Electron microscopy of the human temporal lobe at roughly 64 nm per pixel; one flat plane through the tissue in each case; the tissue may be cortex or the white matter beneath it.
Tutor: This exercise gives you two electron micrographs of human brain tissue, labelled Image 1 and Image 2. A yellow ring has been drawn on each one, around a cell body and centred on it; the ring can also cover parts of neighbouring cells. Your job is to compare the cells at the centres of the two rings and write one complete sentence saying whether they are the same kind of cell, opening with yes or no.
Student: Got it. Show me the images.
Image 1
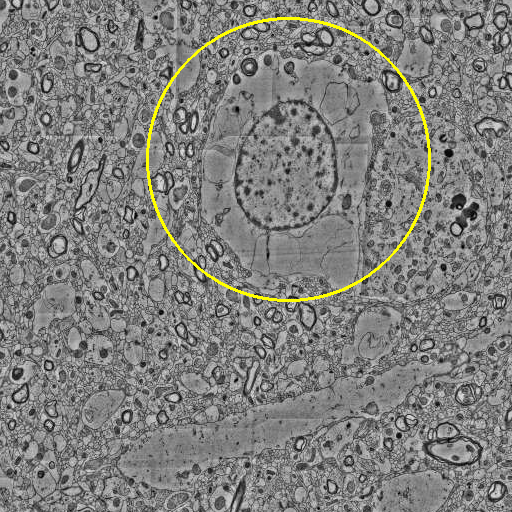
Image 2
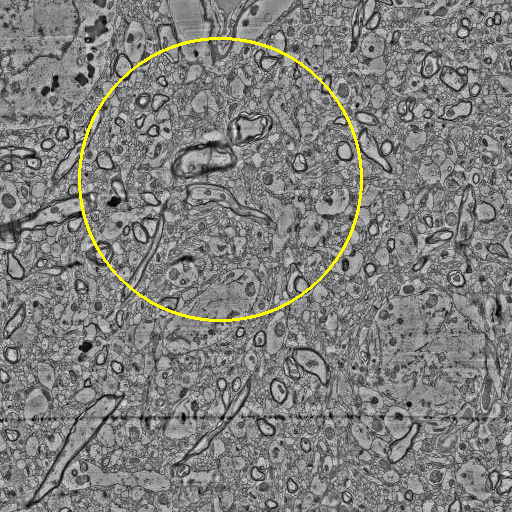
No, the two cells belong to two kinds.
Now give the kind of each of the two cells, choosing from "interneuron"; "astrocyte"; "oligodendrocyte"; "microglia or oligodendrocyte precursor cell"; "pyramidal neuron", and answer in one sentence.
The cell in the first picture is an astrocyte, and the cell in the second is an oligodendrocyte.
